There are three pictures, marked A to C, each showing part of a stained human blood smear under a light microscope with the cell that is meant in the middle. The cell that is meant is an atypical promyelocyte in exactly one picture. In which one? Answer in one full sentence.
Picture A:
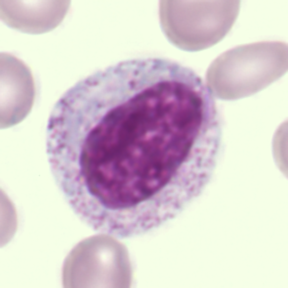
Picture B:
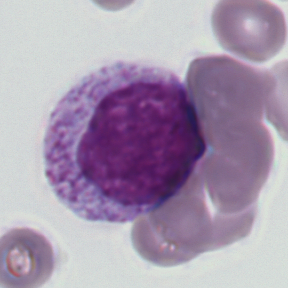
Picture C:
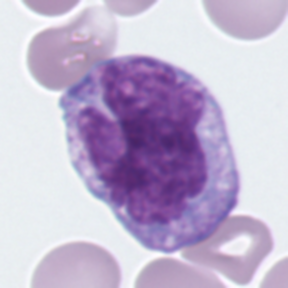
Picture C is the one that shows the atypical promyelocyte.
